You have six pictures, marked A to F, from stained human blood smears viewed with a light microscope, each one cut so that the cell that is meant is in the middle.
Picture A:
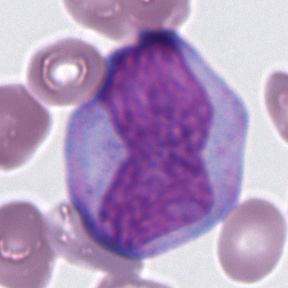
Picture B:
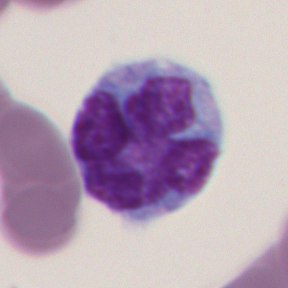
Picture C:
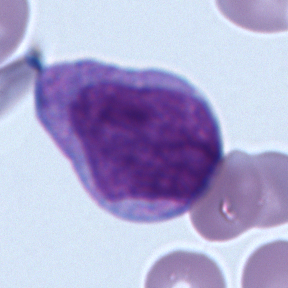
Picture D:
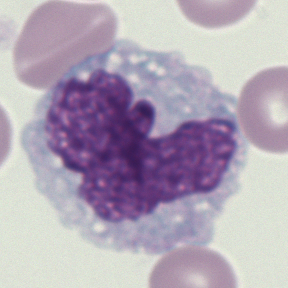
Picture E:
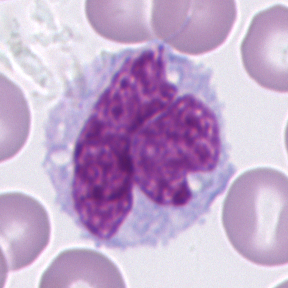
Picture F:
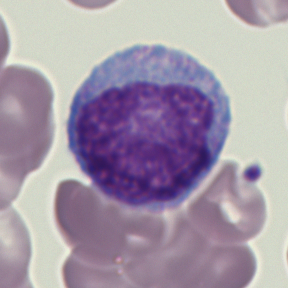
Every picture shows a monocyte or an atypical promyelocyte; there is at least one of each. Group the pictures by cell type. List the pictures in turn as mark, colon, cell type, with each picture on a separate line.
A: atypical promyelocyte
B: monocyte
C: atypical promyelocyte
D: monocyte
E: monocyte
F: monocyte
